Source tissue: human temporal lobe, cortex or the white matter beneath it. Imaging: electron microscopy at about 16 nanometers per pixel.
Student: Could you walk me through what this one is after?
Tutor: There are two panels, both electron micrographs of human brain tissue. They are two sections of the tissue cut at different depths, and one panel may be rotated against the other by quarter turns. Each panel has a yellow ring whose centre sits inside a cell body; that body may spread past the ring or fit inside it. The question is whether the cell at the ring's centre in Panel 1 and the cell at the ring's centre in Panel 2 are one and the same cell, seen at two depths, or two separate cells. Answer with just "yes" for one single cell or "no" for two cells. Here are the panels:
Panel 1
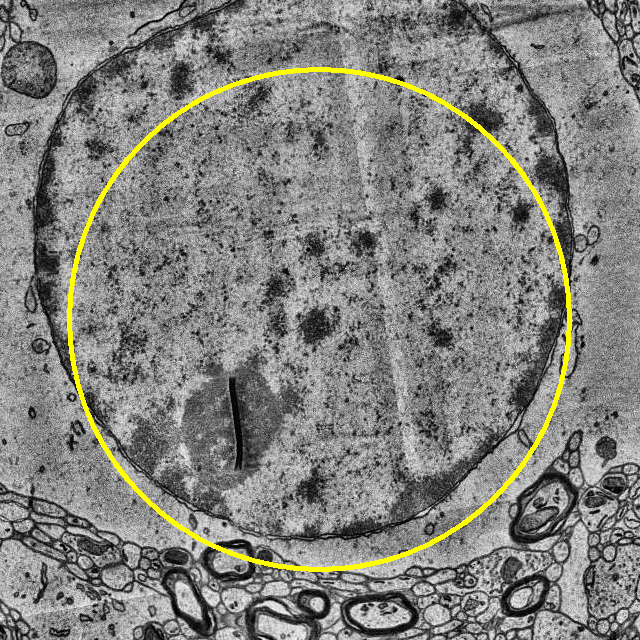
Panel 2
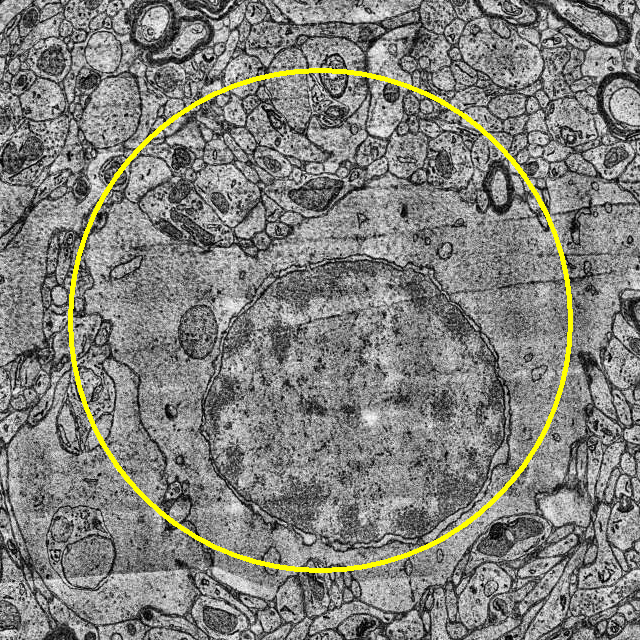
yes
